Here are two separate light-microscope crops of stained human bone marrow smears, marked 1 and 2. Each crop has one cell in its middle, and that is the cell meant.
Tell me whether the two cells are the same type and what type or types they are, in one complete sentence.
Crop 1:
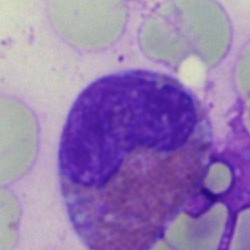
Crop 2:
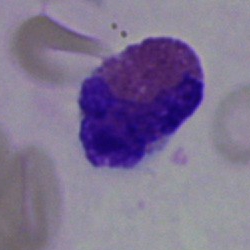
Yes, both crops show eosinophils as the central cells.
